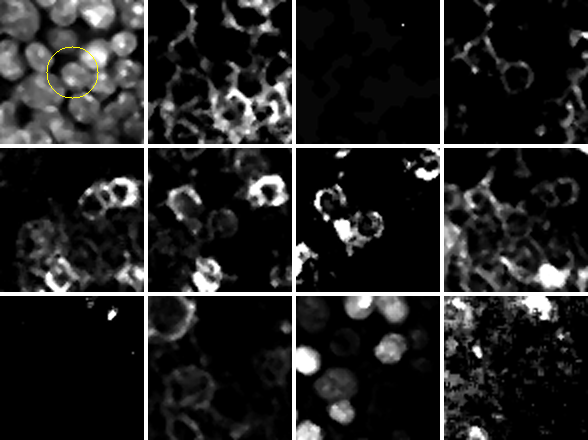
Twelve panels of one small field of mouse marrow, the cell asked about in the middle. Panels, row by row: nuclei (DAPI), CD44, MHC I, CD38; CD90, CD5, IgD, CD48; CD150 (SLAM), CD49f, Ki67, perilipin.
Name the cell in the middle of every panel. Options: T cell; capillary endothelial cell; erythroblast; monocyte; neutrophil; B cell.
B cell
